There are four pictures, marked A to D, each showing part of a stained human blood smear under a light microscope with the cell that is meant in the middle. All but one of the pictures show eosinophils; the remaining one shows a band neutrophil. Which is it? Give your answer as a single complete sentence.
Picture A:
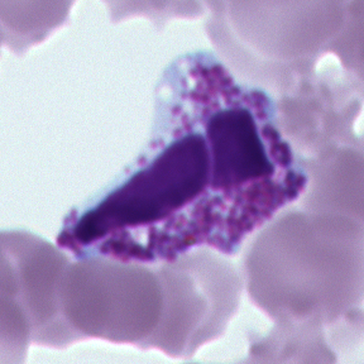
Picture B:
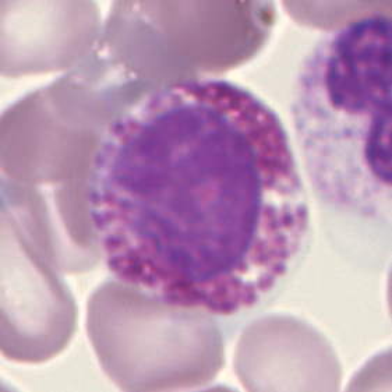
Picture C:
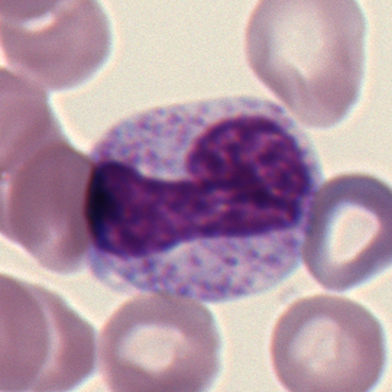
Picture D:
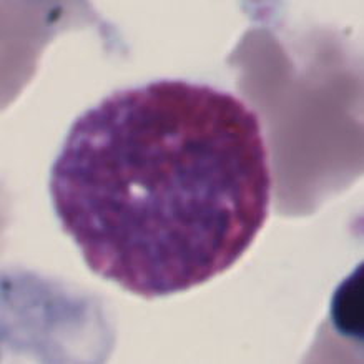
It is picture C that shows the band neutrophil.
